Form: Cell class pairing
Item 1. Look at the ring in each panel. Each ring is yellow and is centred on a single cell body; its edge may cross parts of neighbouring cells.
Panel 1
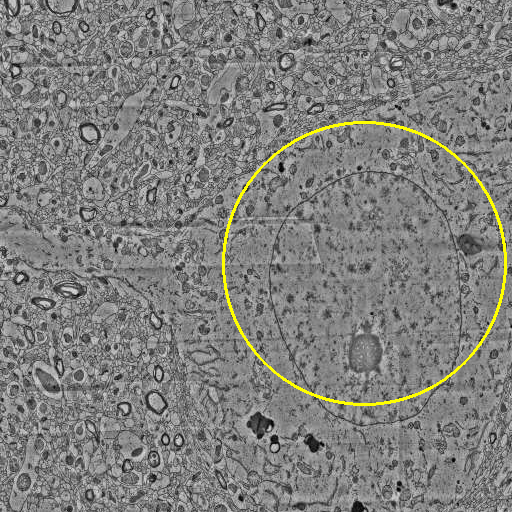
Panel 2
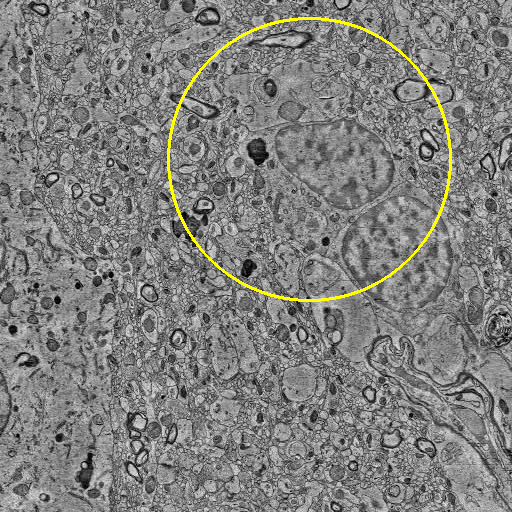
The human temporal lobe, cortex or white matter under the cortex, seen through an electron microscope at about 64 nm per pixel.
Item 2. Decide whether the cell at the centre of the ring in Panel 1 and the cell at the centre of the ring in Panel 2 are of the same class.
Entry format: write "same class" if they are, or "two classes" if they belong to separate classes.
two classes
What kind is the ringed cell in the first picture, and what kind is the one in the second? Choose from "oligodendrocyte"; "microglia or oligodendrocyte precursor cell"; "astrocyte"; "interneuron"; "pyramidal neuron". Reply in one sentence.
The first cell is a pyramidal neuron; the second is an oligodendrocyte.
